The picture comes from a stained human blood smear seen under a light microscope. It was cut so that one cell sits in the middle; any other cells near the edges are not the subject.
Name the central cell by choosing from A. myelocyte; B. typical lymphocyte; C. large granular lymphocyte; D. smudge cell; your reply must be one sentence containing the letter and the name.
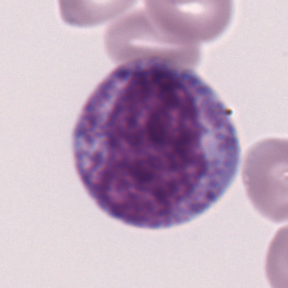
The correct option, A, names the middle cell as a myelocyte.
